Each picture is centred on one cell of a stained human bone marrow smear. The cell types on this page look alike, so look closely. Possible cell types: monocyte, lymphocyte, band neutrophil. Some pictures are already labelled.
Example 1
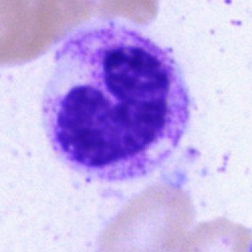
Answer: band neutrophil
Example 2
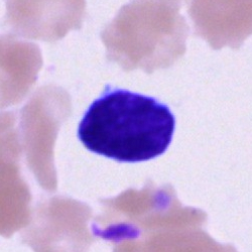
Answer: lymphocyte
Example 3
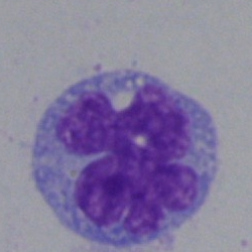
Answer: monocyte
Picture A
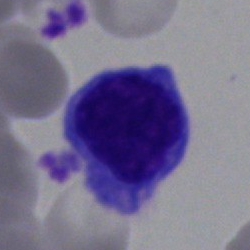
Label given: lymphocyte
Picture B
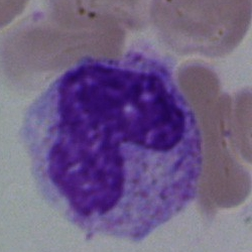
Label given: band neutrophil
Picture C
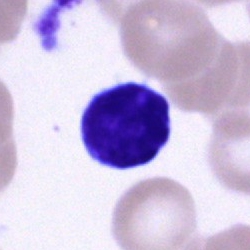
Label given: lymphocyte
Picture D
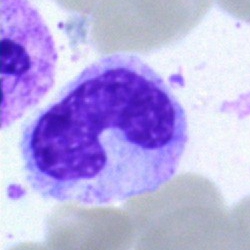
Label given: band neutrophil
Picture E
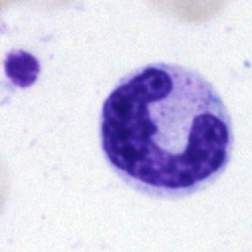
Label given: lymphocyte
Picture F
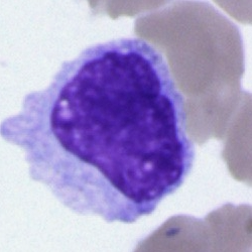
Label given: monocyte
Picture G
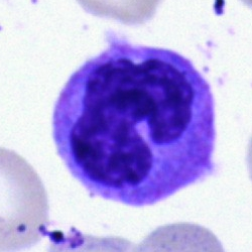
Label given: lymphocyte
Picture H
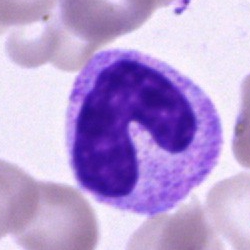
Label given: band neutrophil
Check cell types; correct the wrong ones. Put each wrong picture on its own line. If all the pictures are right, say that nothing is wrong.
E is labelled lymphocyte; correct label: band neutrophil
G is labelled lymphocyte; correct label: monocyte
